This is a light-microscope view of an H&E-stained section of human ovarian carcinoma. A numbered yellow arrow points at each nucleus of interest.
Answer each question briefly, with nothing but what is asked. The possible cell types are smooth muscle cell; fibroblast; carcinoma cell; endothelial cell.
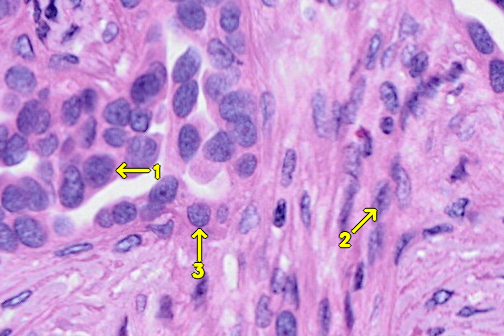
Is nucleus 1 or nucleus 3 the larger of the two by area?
1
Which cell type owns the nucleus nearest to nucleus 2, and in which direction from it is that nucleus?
a fibroblast, to the right of nucleus 2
